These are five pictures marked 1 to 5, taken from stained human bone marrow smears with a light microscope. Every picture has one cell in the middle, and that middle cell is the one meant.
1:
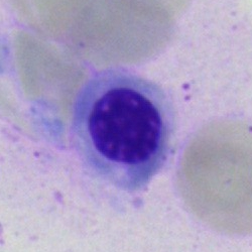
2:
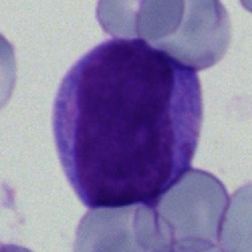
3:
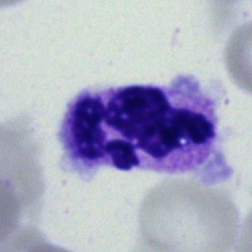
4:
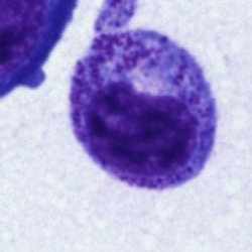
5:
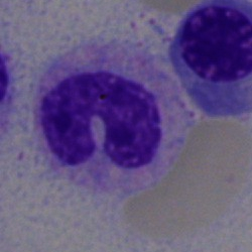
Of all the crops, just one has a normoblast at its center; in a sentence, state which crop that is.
Crop 1 is the correct crop, and it shows a normoblast.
